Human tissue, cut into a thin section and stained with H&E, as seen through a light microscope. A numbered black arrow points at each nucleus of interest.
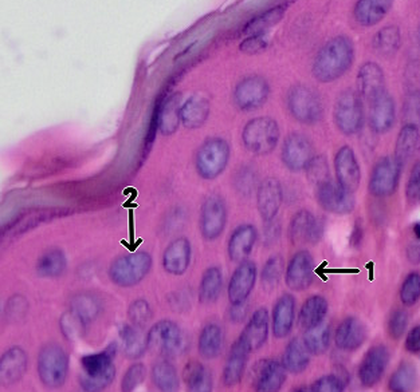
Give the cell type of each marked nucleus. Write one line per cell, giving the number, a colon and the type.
1: basal keratinocyte
2: suprabasal keratinocyte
